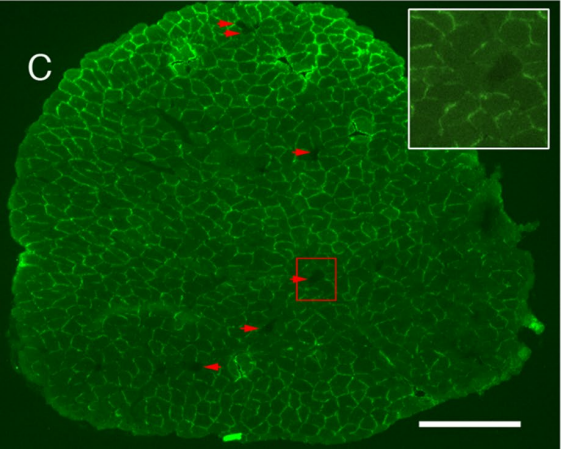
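This cross-section of a skeletal muscle shows hundreds of tightly packed polygonal muscle fibers, each outlined by a brighter green rim. Most fibers show a fairly even green fluorescence across the section. A few fibers scattered through the muscle appear dark, lacking the fluorescence of their neighbours, and are marked by arrowheads. The enlarged inset shows one such dark fiber surrounded by fluorescent fibers.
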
